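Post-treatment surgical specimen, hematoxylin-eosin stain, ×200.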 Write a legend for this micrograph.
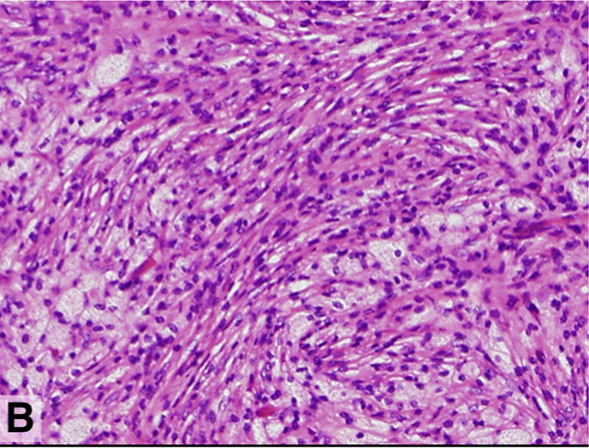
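A diffuse proliferation of short spindle-shaped cells fills the field, arranged in interlacing, swirling bundles that form a storiform pattern. The nuclei are dark purple, ovoid to elongated and fairly uniform, and the cells have scant pale pink cytoplasm that merges into a fibrillary pink stroma. Between the bundles lie scattered cells with clear, vacuolated cytoplasm and small round nuclei, giving the tissue a bubbly look in places; these are foam cells. No large multinucleated giant cells are seen among the spindle cells. A few red blood cells lie in small vessels.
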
